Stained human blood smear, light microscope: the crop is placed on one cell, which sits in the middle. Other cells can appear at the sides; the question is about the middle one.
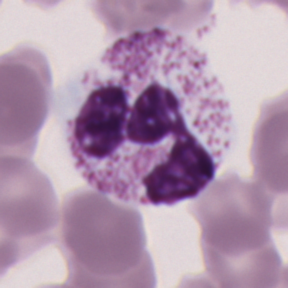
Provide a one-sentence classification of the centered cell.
The cell at the middle of the crop is recognized as a segmented neutrophil.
